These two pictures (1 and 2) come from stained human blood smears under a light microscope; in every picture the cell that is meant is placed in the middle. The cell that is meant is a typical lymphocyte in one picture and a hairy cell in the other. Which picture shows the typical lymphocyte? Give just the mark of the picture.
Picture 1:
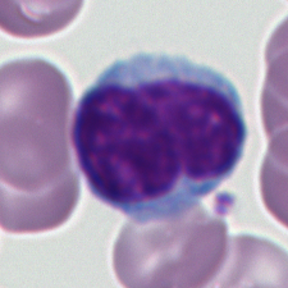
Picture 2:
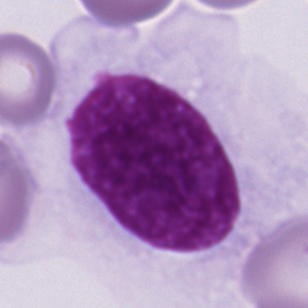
1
